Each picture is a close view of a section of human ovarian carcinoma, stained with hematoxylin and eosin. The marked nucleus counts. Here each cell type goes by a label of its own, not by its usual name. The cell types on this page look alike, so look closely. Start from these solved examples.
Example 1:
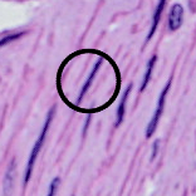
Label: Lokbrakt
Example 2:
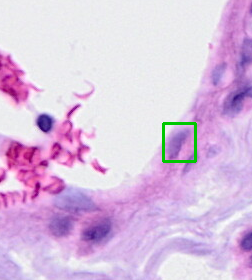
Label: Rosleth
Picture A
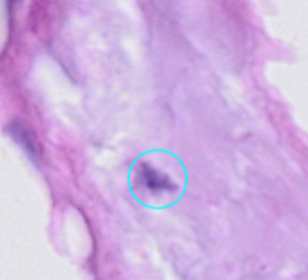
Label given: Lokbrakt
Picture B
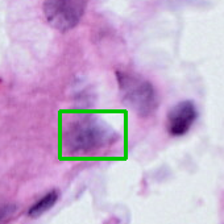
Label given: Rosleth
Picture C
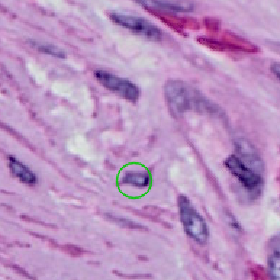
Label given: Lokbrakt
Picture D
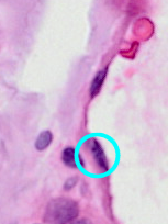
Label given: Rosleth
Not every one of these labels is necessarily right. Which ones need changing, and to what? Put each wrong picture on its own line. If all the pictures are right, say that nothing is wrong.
All labels are correct.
